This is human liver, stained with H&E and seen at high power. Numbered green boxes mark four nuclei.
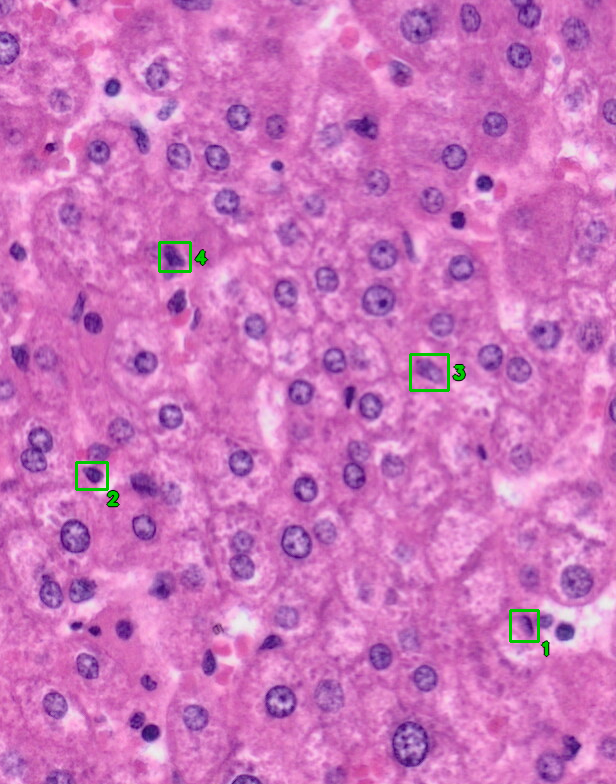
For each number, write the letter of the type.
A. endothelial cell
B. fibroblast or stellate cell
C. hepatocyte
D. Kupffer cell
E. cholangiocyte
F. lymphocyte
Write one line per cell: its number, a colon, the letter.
1: B
2: F
3: D
4: B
